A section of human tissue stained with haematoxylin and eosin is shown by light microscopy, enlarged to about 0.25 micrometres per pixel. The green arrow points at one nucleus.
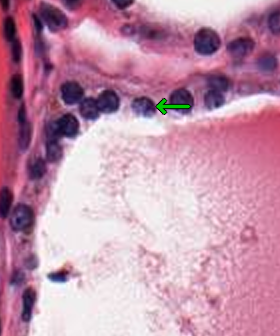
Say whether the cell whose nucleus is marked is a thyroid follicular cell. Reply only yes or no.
yes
